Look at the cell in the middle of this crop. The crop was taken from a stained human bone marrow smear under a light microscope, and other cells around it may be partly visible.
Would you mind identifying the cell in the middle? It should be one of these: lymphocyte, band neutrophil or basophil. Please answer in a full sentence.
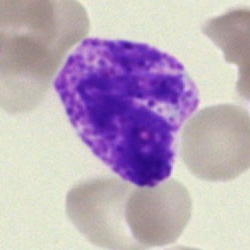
The center cell of this crop is a basophil.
